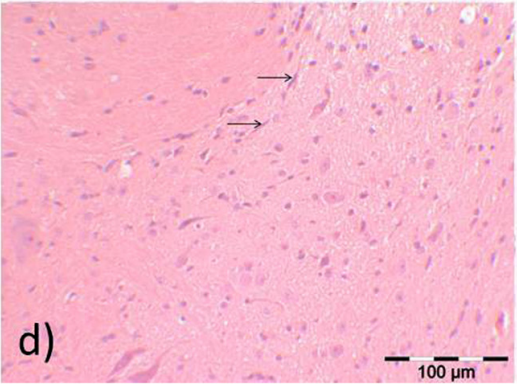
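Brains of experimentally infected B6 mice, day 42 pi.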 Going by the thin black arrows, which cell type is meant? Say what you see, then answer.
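The arrows point to cells with elongated, rod-shaped dark nuclei. These cells lie in the pink neuropil, not around vessels.
Conclusion: activated microglia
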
